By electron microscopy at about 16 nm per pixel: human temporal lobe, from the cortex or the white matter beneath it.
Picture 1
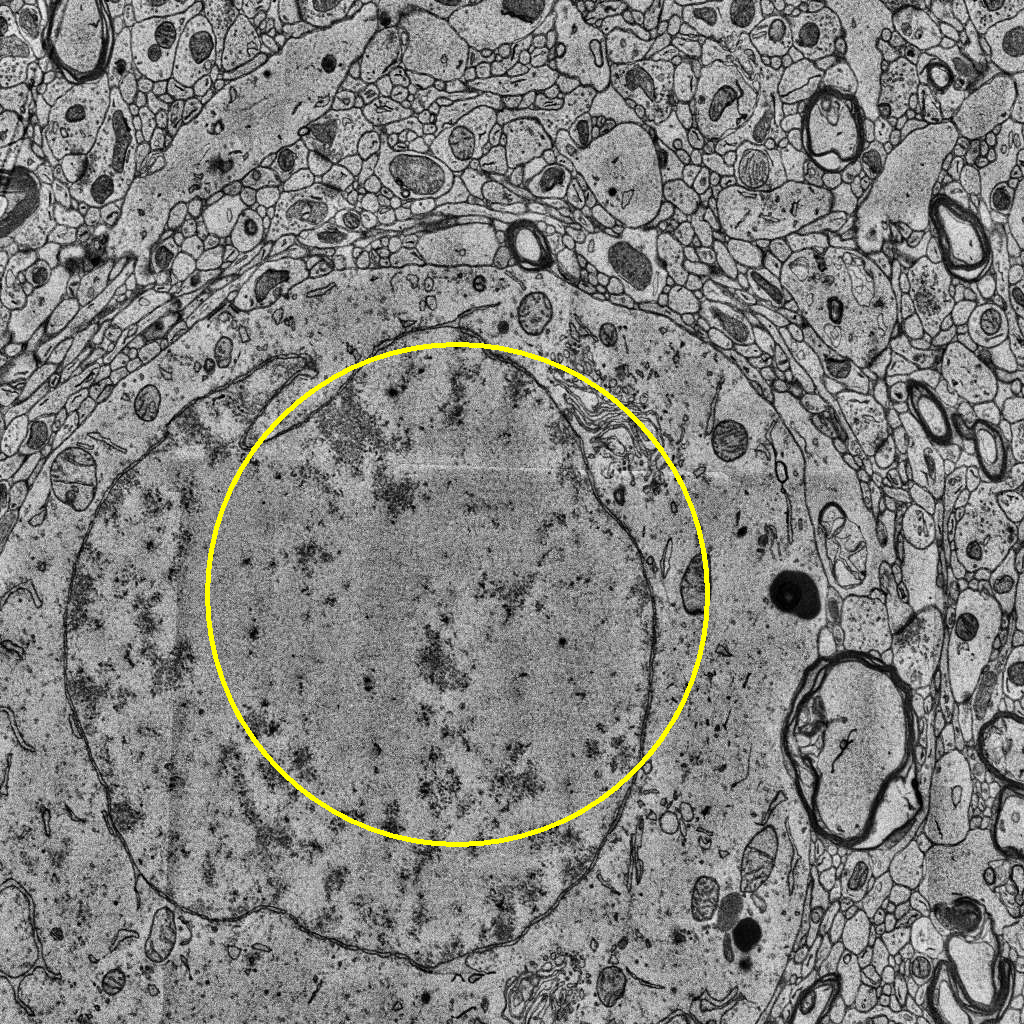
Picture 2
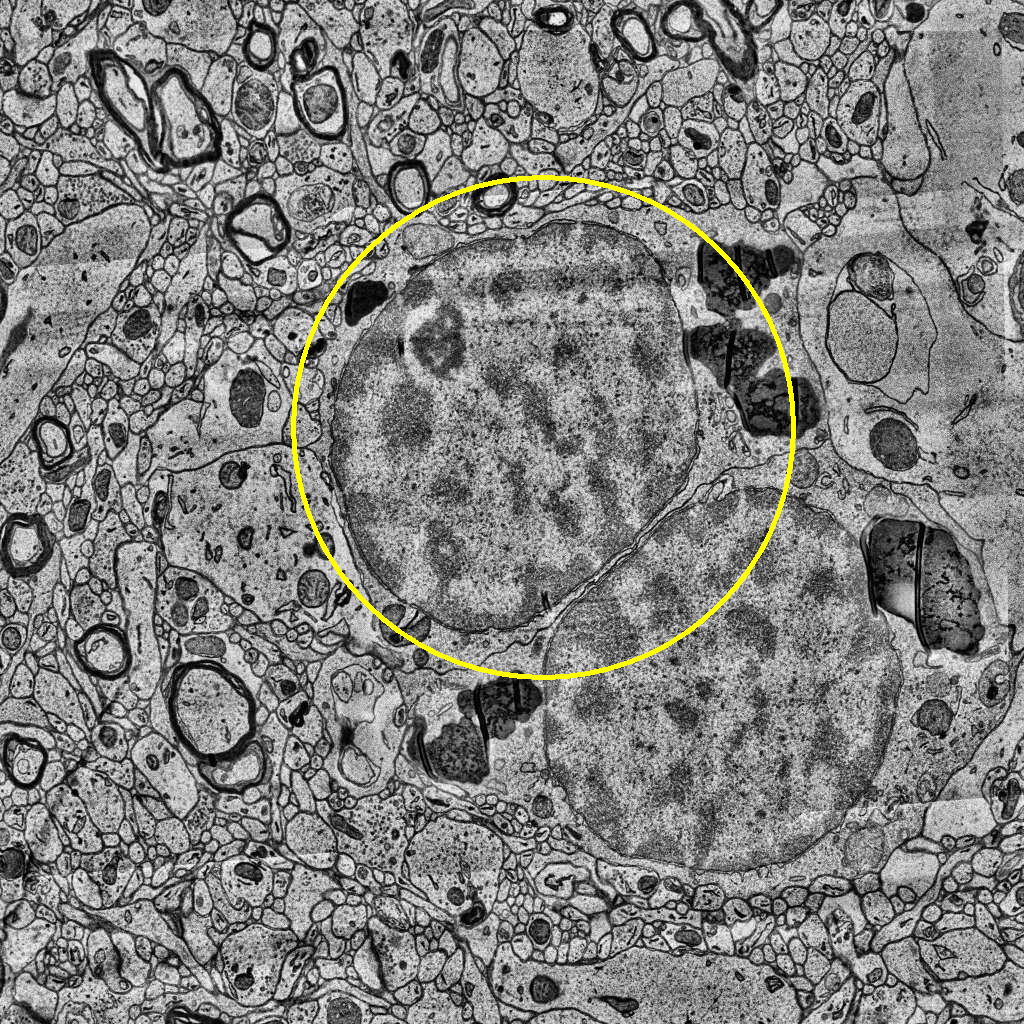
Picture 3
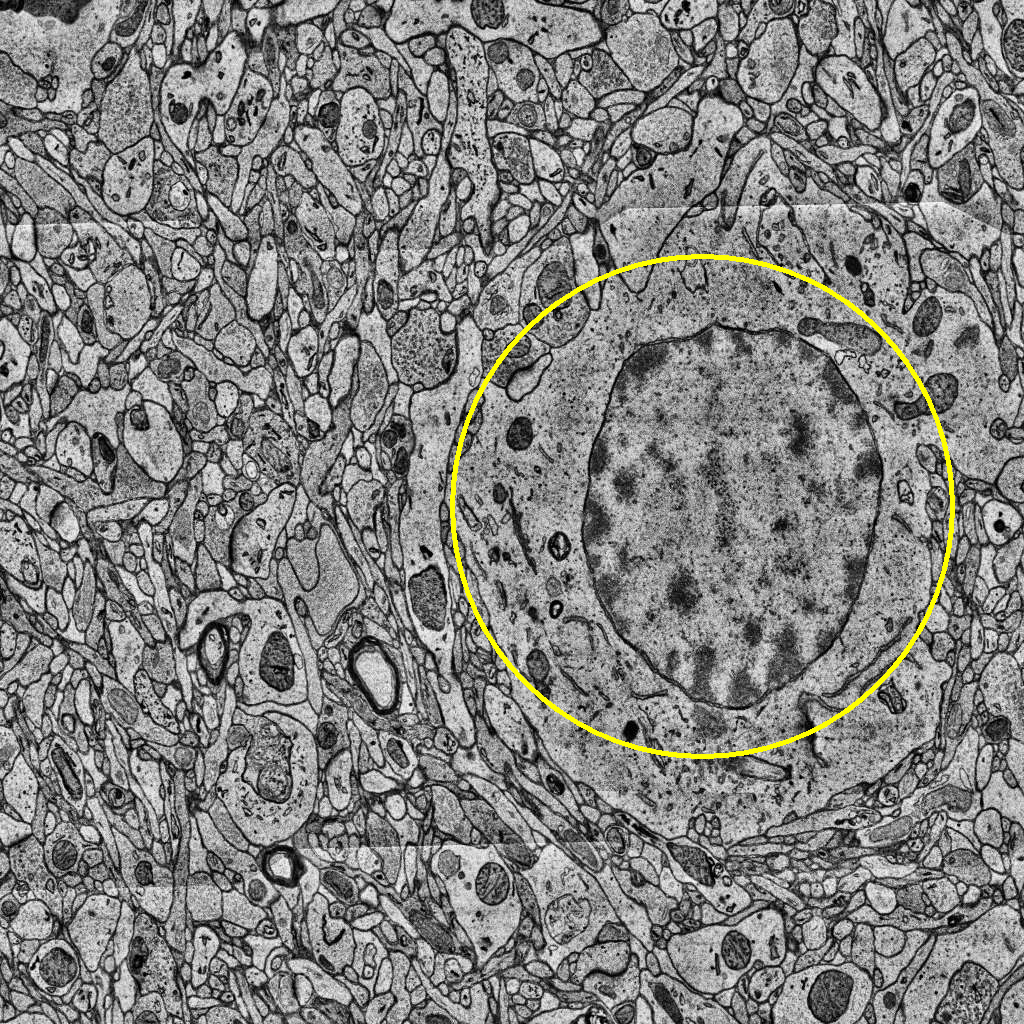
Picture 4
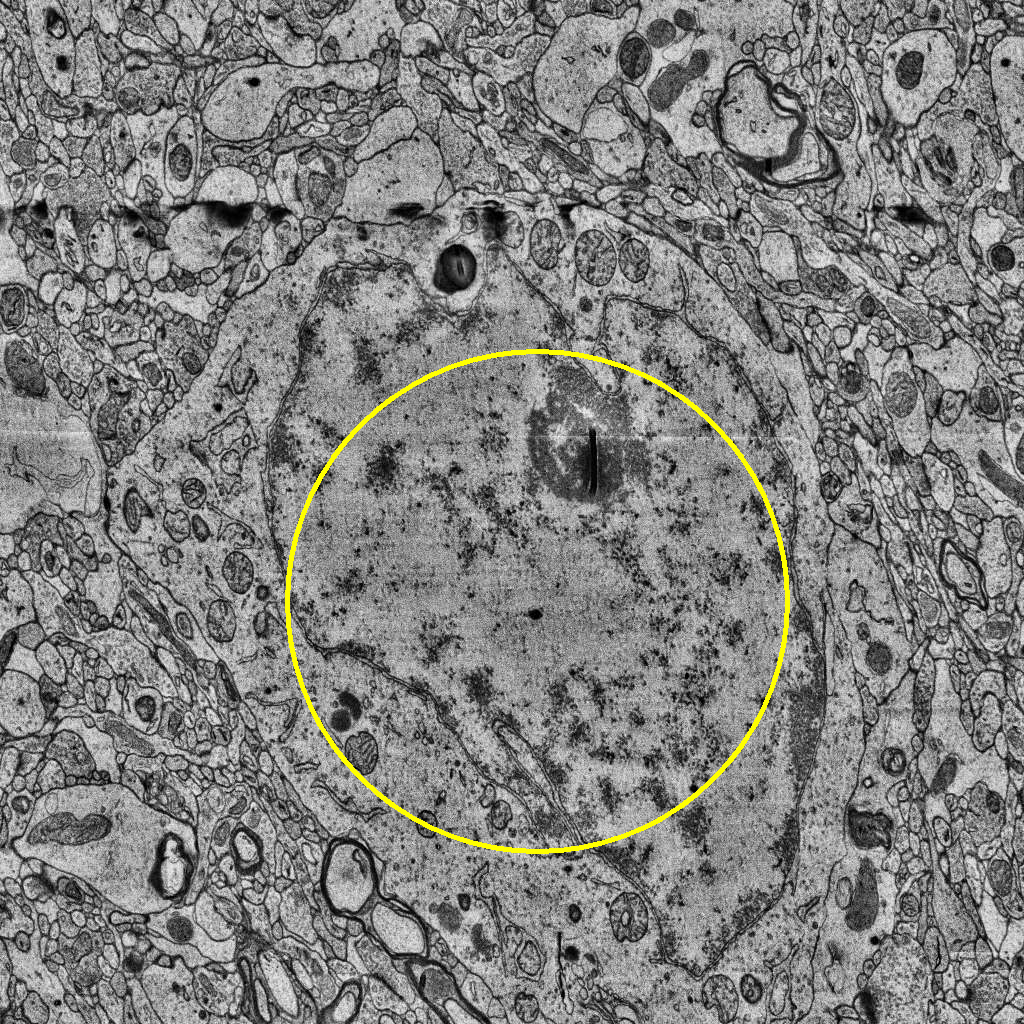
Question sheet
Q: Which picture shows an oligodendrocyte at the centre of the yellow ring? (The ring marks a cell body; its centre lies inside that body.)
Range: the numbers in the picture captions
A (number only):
2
